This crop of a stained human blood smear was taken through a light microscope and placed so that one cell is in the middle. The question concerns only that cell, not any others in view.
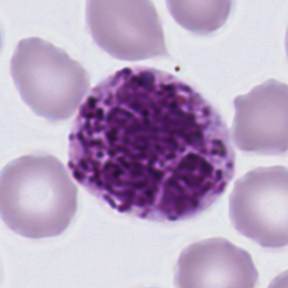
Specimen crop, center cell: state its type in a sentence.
Here the cell in the middle is a basophil.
